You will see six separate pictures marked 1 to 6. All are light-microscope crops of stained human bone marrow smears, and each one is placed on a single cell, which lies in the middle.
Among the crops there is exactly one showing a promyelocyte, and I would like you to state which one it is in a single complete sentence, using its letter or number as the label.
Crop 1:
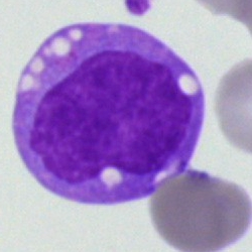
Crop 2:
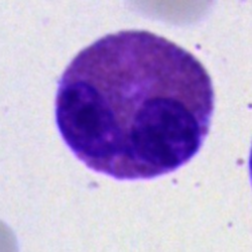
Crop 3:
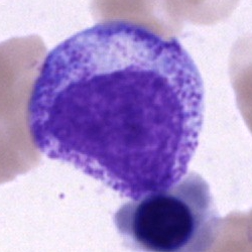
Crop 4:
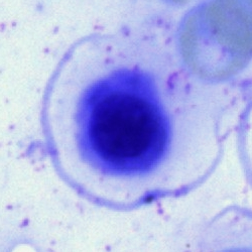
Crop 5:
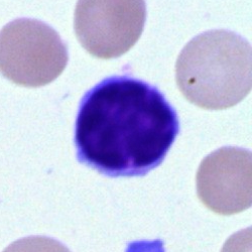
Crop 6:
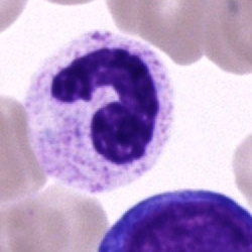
Crop 3 is the right one; it is the crop showing a promyelocyte.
